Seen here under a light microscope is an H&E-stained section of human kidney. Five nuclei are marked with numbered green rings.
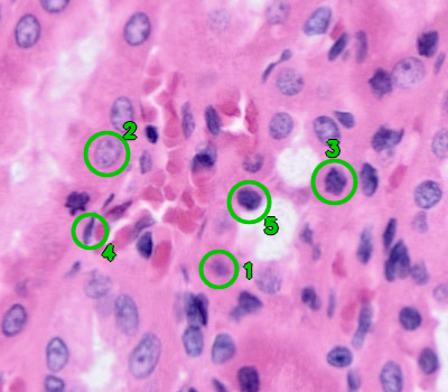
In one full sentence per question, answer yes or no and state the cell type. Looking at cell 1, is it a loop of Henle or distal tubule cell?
Yes, among the marked cells, the one with number 1 is a loop of Henle or distal tubule cell.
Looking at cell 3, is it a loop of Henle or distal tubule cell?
Yes, number 3 is assigned to a cell that is a loop of Henle or distal tubule cell.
